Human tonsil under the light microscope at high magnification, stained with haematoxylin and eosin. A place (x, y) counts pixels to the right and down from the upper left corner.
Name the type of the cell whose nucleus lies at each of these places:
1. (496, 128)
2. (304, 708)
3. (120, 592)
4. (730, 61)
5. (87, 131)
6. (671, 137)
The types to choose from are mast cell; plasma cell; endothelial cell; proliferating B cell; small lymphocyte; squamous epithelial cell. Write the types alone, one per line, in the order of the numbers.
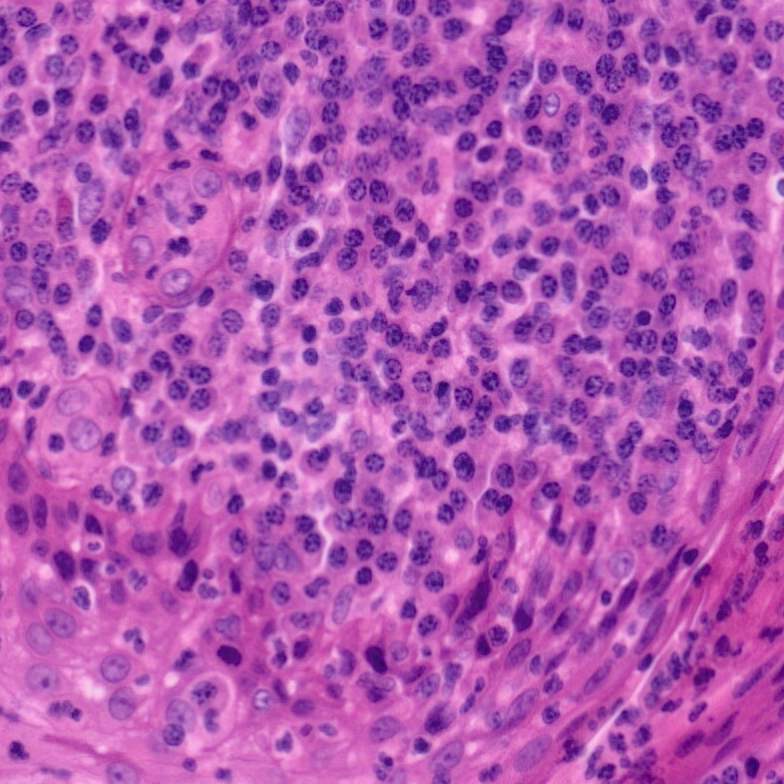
plasma cell
squamous epithelial cell
squamous epithelial cell
plasma cell
plasma cell
plasma cell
